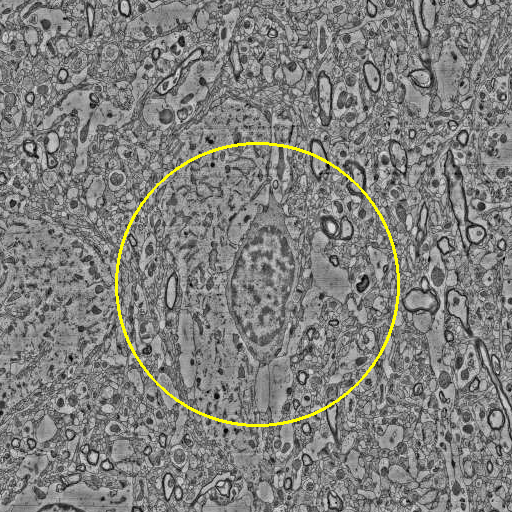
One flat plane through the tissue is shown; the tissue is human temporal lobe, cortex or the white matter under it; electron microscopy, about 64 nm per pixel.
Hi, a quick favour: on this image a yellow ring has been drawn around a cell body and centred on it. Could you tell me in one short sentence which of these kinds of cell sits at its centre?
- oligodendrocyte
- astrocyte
The ring is centred on an oligodendrocyte.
